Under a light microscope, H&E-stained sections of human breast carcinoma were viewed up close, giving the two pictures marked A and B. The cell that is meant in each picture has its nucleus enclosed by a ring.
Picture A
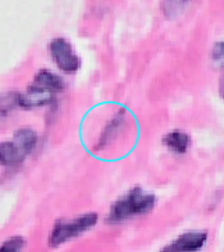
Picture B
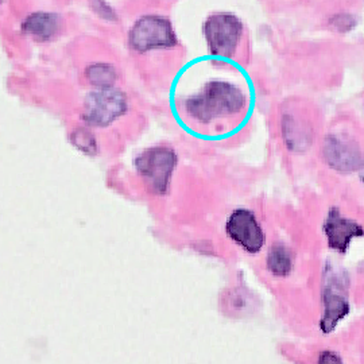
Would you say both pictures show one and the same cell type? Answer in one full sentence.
No; the cell in picture A is a fibroblast, while the one in picture B is a carcinoma cell.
